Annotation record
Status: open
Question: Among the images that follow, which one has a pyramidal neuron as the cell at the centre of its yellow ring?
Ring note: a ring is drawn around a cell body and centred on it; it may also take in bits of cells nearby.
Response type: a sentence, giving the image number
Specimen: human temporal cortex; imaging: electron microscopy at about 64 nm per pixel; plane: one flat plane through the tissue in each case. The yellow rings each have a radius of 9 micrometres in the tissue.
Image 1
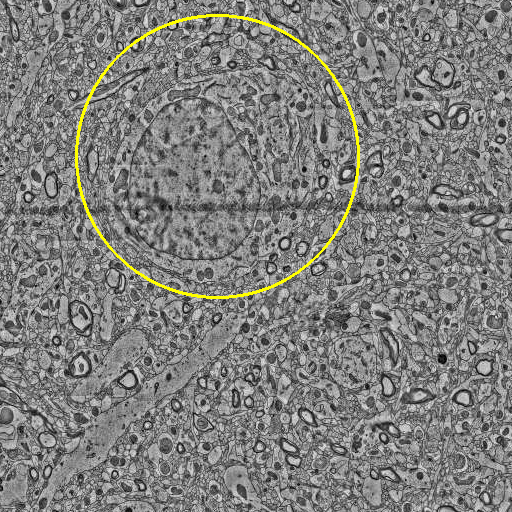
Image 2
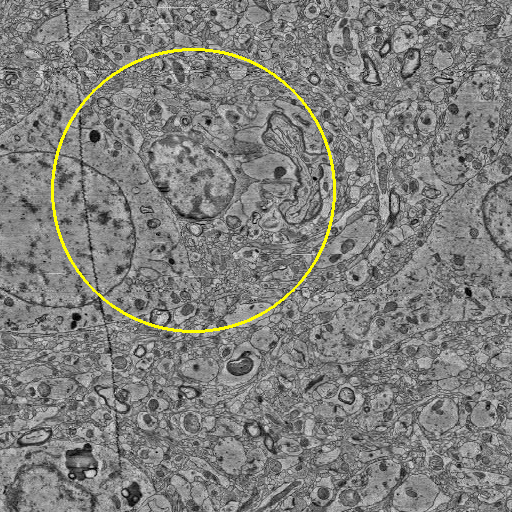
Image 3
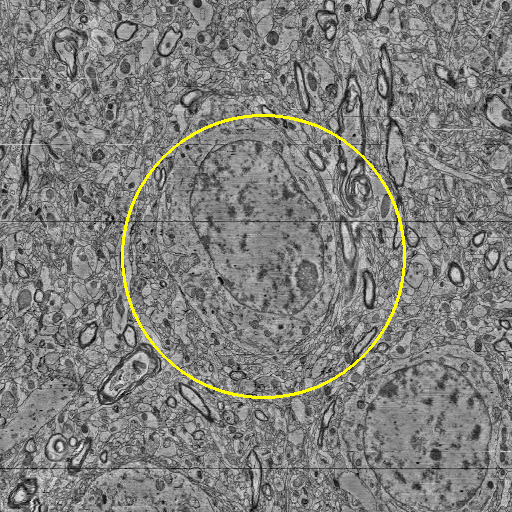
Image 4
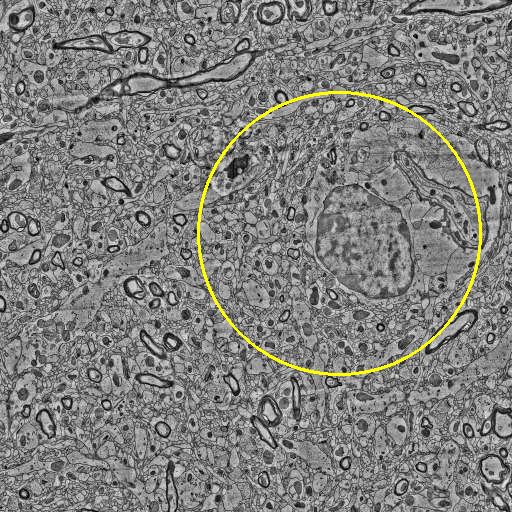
Image 3 shows it at the centre of its ring.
